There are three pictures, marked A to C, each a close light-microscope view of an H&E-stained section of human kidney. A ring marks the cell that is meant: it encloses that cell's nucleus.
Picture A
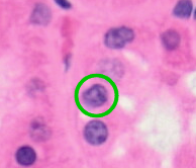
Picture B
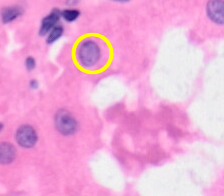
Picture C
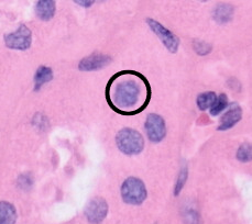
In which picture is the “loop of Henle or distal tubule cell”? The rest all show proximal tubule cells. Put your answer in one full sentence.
The cell in picture C is the “loop of Henle or distal tubule cell”.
